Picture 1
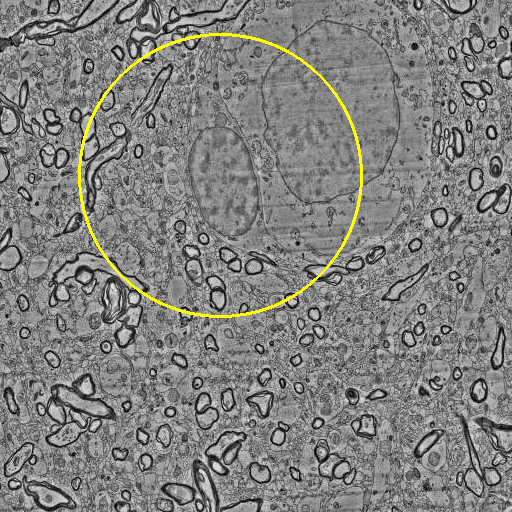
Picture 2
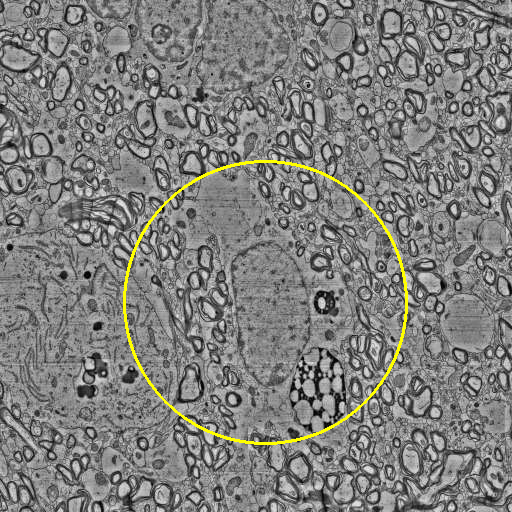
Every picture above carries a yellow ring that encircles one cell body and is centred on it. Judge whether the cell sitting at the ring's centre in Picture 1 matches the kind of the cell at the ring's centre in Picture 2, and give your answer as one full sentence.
No, the cells centred in the rings of Pictures 1 and 2 belong to two kinds.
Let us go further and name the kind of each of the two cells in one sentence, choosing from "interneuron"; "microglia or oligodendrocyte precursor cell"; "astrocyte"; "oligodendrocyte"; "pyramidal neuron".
The ring of the first picture is on an oligodendrocyte, the ring of the second on an astrocyte.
